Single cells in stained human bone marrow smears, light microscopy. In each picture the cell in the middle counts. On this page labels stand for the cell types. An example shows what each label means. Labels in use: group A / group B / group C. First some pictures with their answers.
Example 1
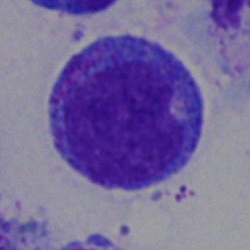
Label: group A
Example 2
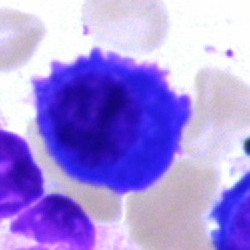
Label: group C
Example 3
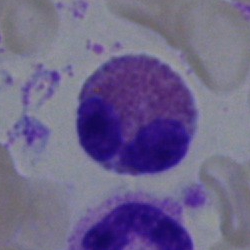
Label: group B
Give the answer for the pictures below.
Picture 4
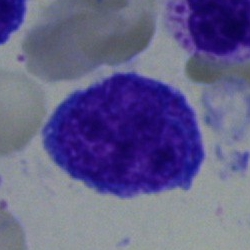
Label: group A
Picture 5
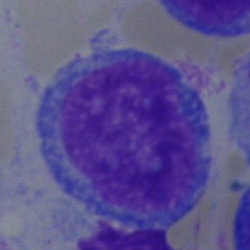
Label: group A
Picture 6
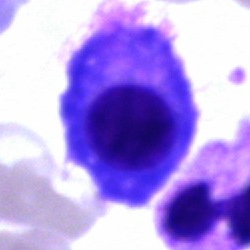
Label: group C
